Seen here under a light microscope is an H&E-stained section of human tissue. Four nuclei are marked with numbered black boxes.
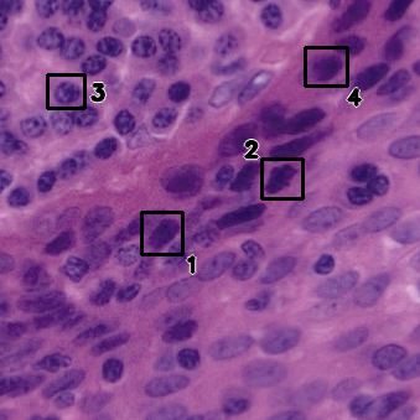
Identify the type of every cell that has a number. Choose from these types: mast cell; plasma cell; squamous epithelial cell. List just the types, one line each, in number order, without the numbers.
squamous epithelial cell
squamous epithelial cell
plasma cell
squamous epithelial cell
